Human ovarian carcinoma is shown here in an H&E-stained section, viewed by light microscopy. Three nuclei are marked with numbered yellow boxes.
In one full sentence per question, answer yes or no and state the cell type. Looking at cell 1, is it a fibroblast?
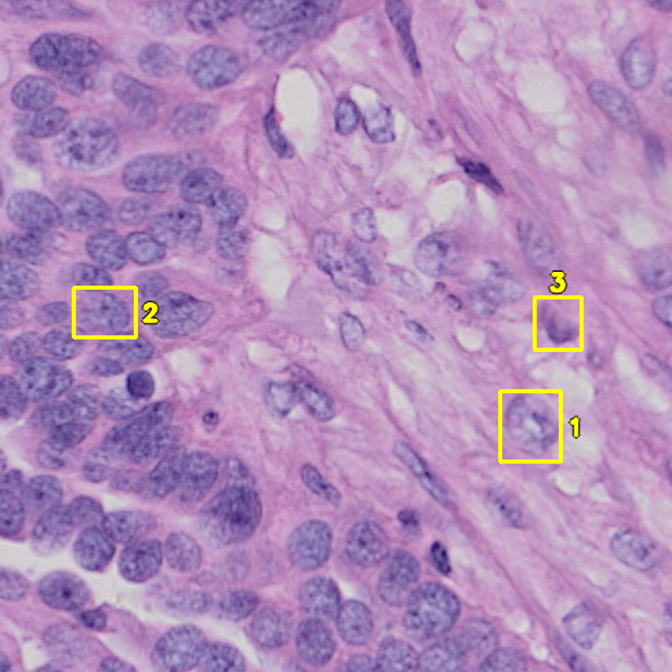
Yes, the cell given number 1 is a fibroblast.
